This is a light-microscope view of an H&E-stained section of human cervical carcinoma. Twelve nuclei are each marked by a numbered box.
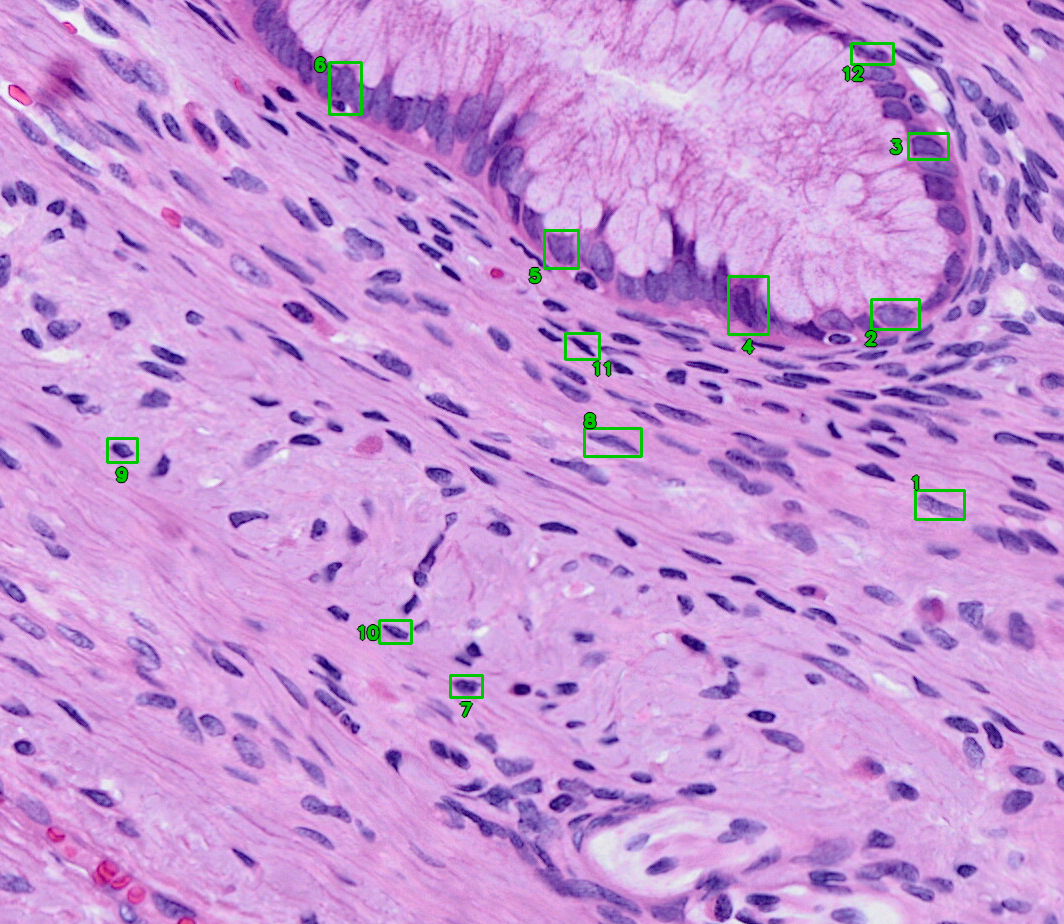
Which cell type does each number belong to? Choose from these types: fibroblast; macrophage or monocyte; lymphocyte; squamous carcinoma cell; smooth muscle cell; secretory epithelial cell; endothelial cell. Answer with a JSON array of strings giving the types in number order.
["fibroblast", "secretory epithelial cell", "secretory epithelial cell", "secretory epithelial cell", "secretory epithelial cell", "secretory epithelial cell", "fibroblast", "fibroblast", "fibroblast", "fibroblast", "fibroblast", "secretory epithelial cell"]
